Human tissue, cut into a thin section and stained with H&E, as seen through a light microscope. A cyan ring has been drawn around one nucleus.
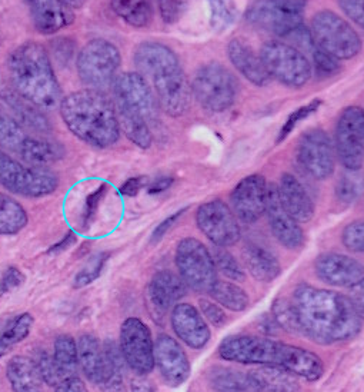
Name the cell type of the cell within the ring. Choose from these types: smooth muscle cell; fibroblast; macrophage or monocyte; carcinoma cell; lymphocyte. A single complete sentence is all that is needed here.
Placed in its cell category, the cell within the ring is a fibroblast.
